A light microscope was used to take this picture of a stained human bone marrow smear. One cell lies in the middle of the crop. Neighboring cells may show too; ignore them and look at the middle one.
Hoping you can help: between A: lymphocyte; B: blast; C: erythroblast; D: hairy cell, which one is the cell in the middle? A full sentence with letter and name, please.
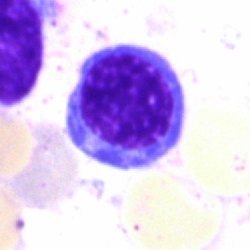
The middle of the crop holds an erythroblast, which points to option C.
